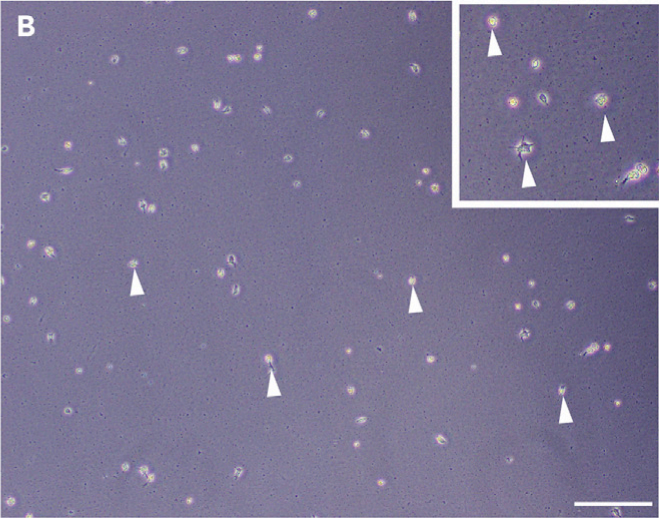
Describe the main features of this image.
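The cells are small and rounded to slightly elongated, each with a bright phase halo, and lie singly, scattered across the dish. Some cells show one or two short processes. No flat, dark, spread cell clusters are present. The inset shows several bright cells at higher magnification, one with fine radiating processes.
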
